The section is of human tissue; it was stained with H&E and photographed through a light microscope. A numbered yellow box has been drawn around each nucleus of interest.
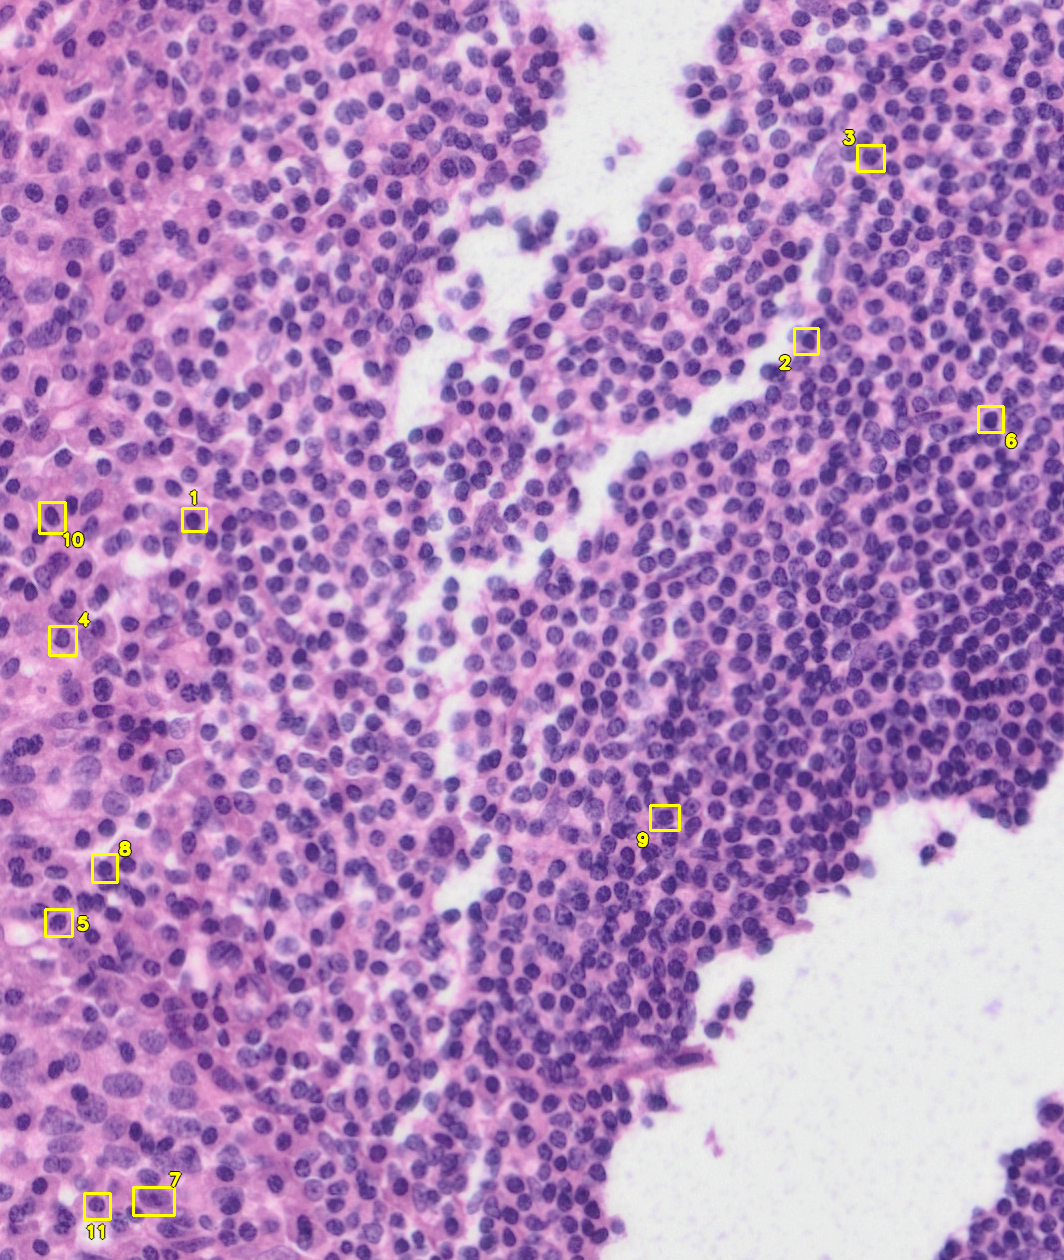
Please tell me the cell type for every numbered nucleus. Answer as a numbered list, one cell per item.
1. plasma cell
2. small lymphocyte
3. small lymphocyte
4. plasma cell
5. plasma cell
6. small lymphocyte
7. squamous epithelial cell
8. plasma cell
9. small lymphocyte
10. plasma cell
11. plasma cell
